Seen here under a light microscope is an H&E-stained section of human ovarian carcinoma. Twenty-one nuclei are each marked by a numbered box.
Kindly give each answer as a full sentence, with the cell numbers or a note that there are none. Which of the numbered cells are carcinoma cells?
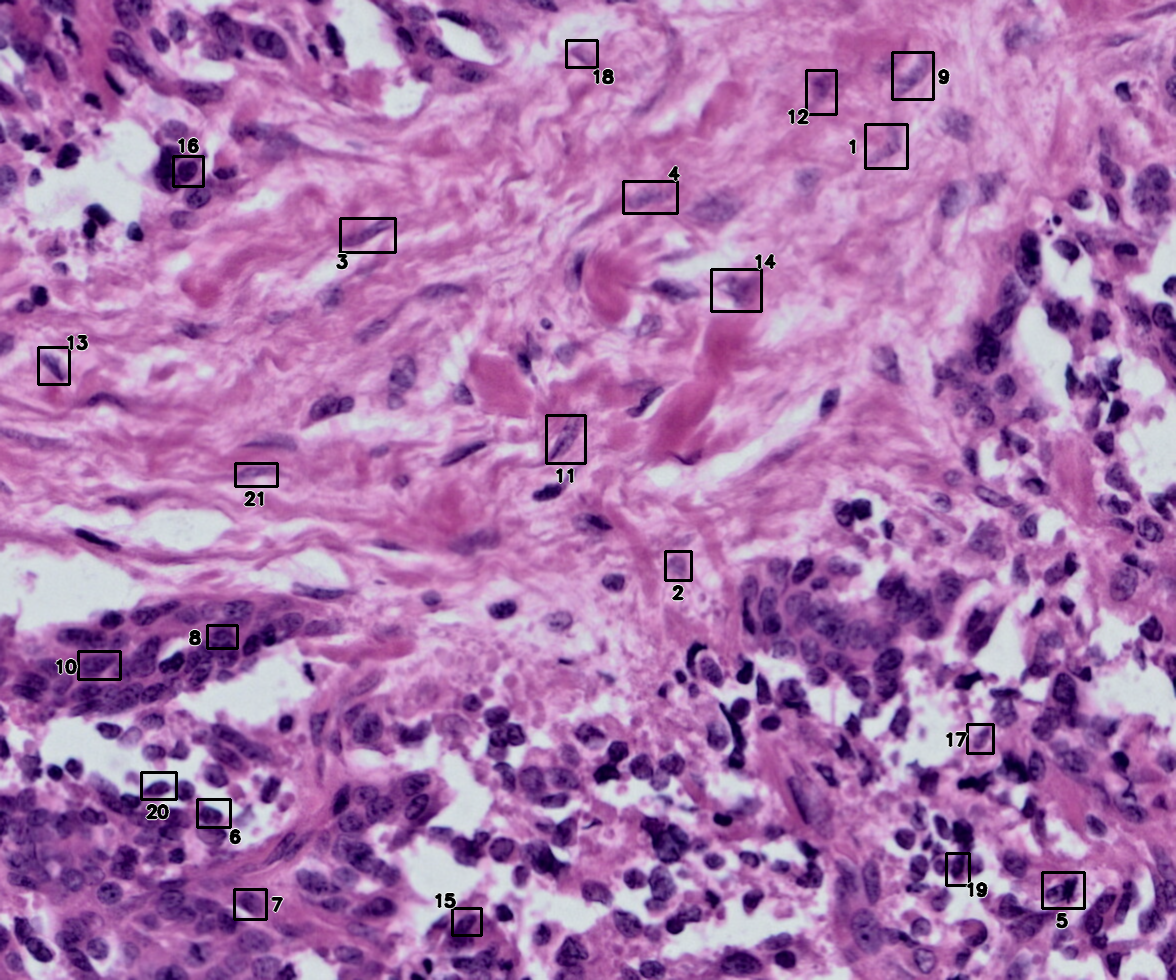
The cells to which the numbers 6, 7, 8, 10, 15, 16, 19 and 20 refer are carcinoma cells.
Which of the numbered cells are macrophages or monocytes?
The cells carrying the numbers 5 and 17 are macrophages or monocytes.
